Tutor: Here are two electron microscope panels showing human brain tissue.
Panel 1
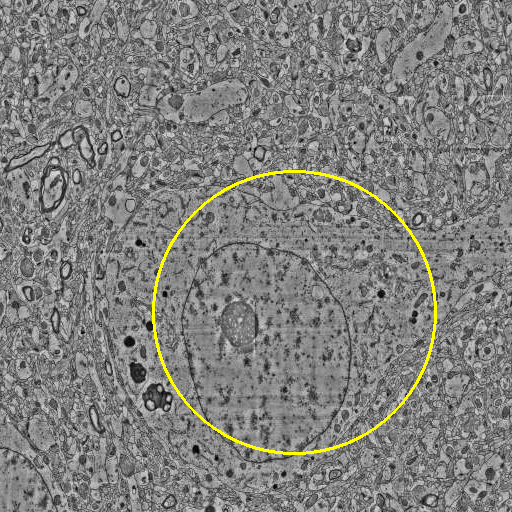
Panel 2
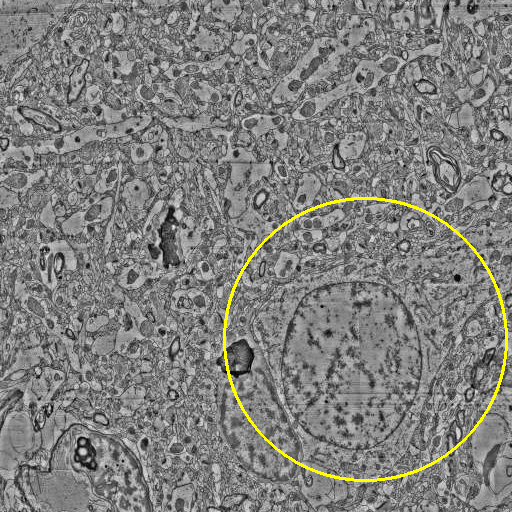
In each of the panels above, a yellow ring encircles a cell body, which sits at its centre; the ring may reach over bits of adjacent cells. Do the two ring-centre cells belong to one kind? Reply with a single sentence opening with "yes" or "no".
Yes, the two cells sitting at the ring centres in the panels belong to one kind.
